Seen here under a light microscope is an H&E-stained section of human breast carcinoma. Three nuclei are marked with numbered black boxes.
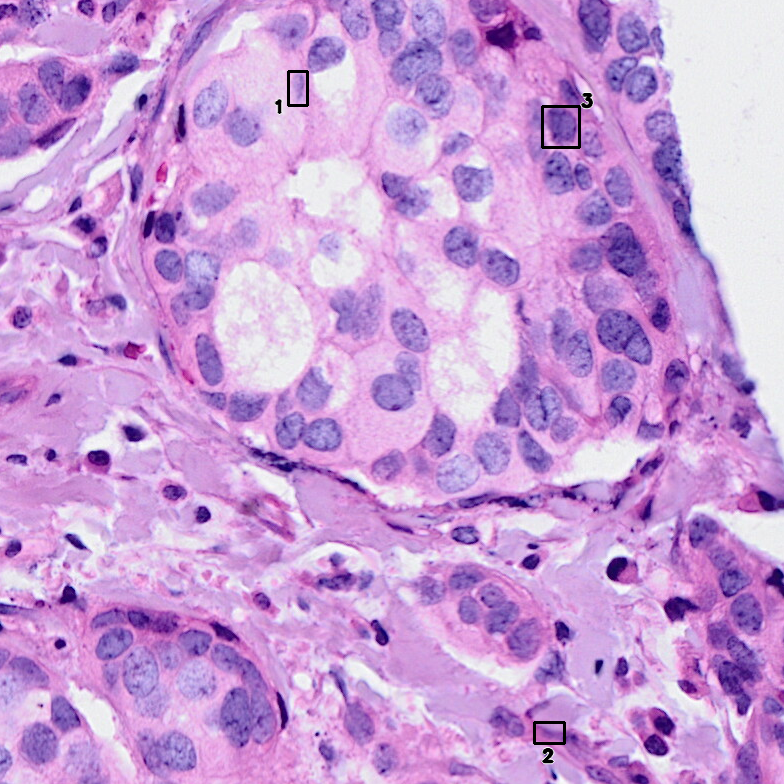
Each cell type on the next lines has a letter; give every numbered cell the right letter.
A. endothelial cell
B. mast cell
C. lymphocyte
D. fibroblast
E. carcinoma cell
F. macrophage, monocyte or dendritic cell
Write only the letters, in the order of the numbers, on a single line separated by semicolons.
E; A; E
